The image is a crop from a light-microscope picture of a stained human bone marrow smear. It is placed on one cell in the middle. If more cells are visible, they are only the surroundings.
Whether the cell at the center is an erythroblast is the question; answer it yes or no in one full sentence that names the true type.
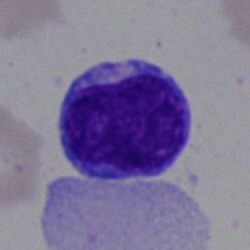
No, the central cell is classed as a blast, not an erythroblast.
